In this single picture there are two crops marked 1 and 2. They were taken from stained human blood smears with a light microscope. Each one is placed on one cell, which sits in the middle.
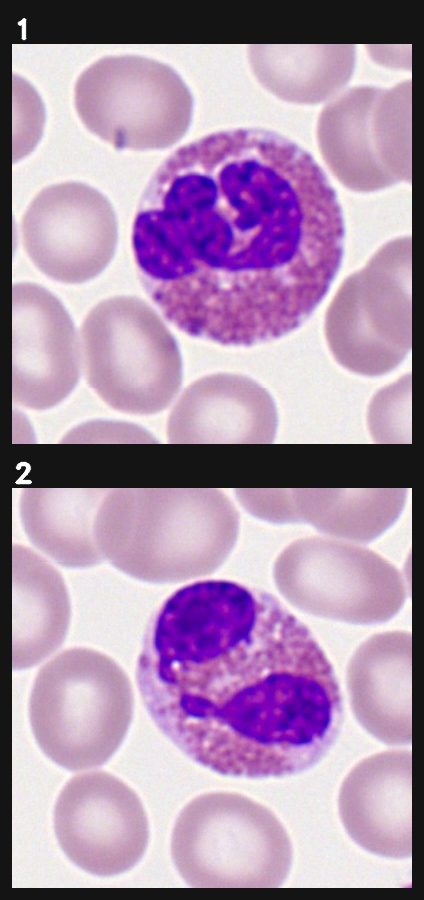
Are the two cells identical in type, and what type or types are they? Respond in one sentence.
Yes, it is eosinophils that both crops show.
